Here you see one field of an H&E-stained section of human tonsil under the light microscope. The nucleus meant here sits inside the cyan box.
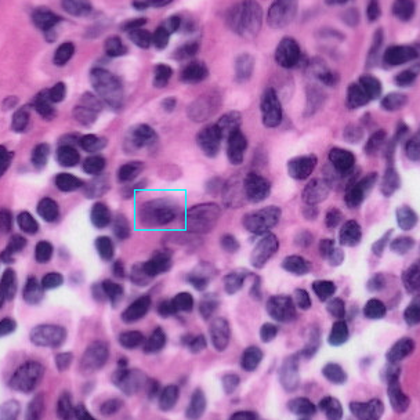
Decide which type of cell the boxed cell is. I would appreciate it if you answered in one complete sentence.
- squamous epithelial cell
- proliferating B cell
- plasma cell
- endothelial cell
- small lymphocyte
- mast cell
Speaking plainly, the boxed cell is nothing other than an endothelial cell.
